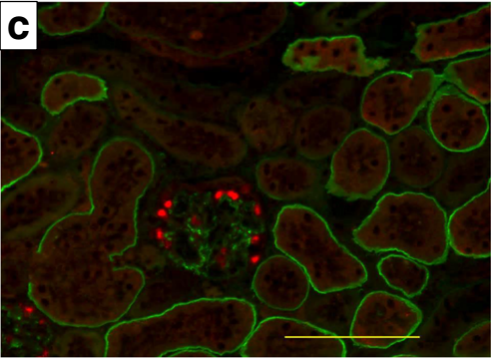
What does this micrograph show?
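A field of renal cortex with many rounded and elongated tubular cross-sections and one glomerulus near the left centre. The glomerulus is a round tuft with bright red nuclei, likely podocytes, spaced around its edge, and only fine, speckled green lines within it, so its basement membrane is labelled patchily compared with the tubules. Narrow dark interstitial spaces separate the tubules.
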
